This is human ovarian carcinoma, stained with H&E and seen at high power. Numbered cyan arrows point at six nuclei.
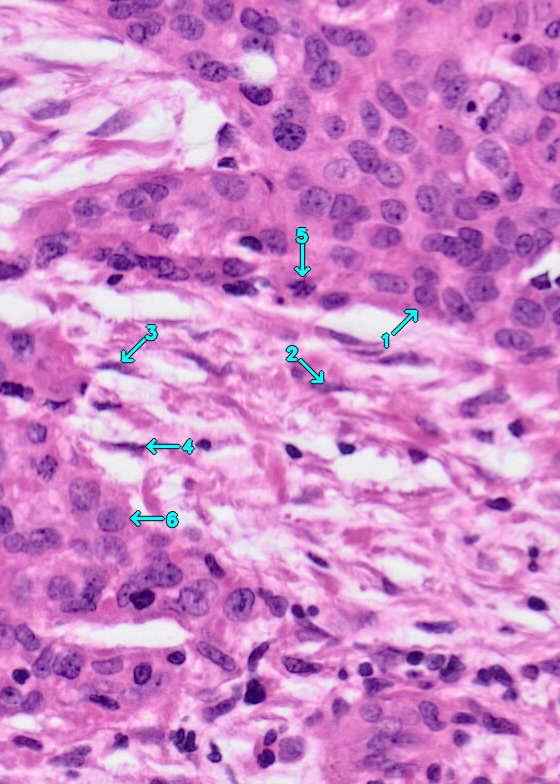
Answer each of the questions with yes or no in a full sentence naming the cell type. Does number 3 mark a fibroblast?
Yes, the cell shown as number 3 is a fibroblast.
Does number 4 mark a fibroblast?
Yes, in this section the cell with number 4 is a fibroblast.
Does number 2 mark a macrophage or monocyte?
No, number 2 marks a fibroblast rather than a macrophage or monocyte.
